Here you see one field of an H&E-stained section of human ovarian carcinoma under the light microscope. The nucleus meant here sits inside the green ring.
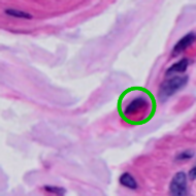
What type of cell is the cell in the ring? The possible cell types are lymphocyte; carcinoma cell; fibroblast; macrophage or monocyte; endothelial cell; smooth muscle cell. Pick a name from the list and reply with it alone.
endothelial cell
